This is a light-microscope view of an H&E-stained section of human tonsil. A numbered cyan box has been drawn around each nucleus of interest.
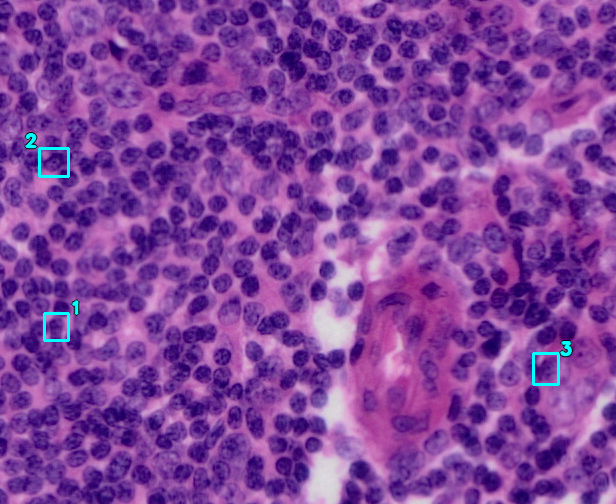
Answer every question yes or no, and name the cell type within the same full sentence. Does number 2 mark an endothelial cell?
No, a small lymphocyte, not an endothelial cell, is the cell with number 2.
